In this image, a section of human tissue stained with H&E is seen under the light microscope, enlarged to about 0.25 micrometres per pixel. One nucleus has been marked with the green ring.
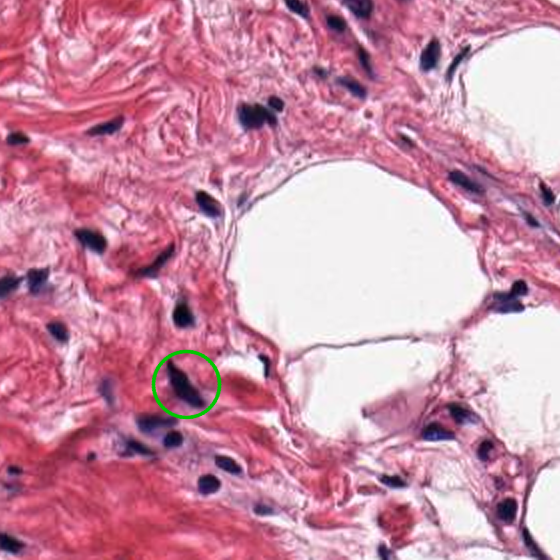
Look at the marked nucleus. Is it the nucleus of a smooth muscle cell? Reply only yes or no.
no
